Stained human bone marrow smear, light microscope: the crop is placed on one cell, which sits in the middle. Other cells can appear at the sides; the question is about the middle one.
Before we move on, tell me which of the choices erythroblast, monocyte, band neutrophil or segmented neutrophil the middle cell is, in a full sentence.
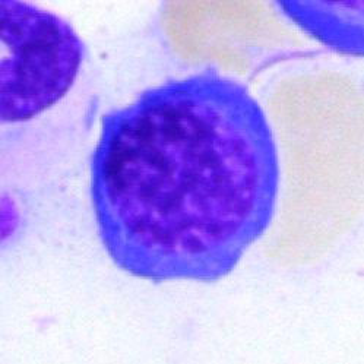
In short, the cell at the center is an erythroblast.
